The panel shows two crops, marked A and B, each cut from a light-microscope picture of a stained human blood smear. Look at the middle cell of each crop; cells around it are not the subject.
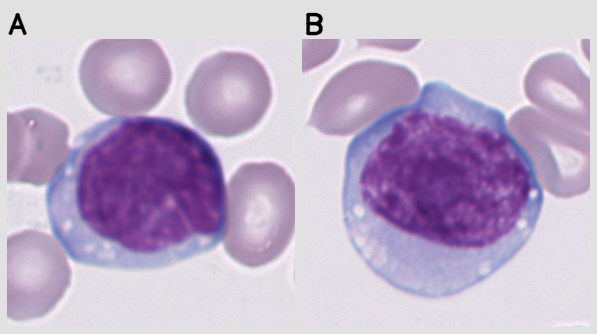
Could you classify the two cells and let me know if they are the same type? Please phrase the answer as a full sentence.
Yes, both crops in the pair show myeloblasts.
